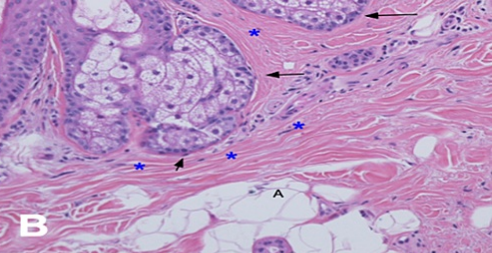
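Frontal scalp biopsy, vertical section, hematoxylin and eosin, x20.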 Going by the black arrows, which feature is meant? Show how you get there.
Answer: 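Lobules of large cells with pale, finely vacuolated cytoplasm. Small dark basaloid cells line the edge of the lobules. The answer: sebaceous hair glands.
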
